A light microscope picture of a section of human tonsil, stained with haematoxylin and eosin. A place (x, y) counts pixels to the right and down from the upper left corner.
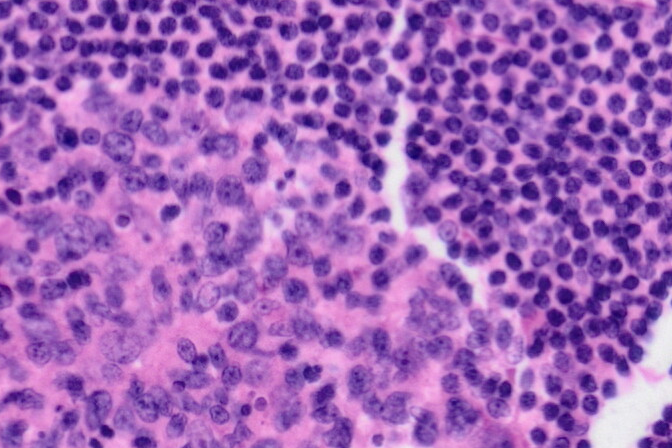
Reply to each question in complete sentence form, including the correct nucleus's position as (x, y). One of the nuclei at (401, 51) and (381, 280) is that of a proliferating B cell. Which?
The one belonging to a proliferating B cell is the nucleus at (381, 280), not the other.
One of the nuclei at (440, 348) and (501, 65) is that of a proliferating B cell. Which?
The nucleus at (440, 348), rather than the other, belongs to a proliferating B cell.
